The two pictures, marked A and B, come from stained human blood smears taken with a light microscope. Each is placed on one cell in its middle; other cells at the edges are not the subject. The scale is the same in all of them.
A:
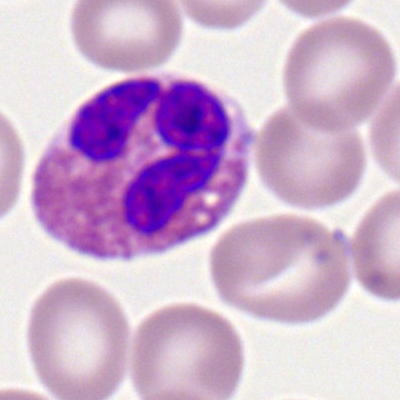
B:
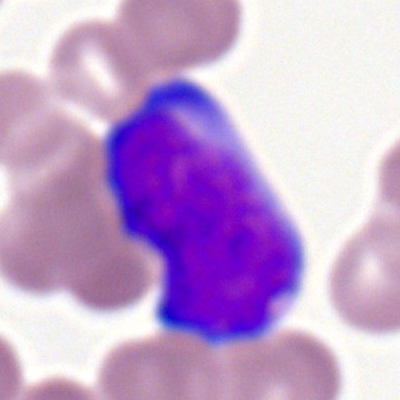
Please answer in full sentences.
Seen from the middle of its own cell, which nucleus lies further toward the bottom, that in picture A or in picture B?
It is the nucleus in picture B that lies further toward the bottom of its cell.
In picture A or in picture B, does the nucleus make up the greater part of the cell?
In picture B the nucleus takes up the larger part of its cell.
